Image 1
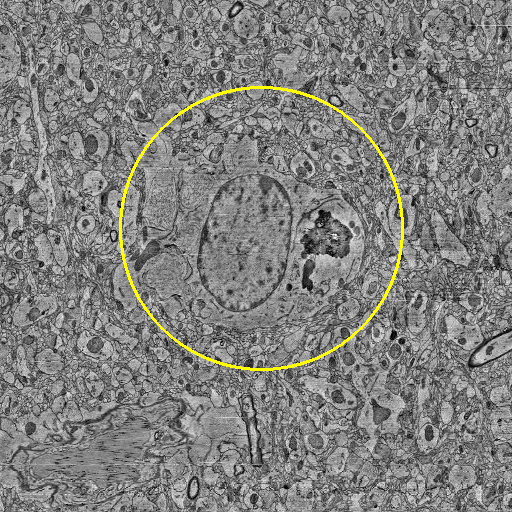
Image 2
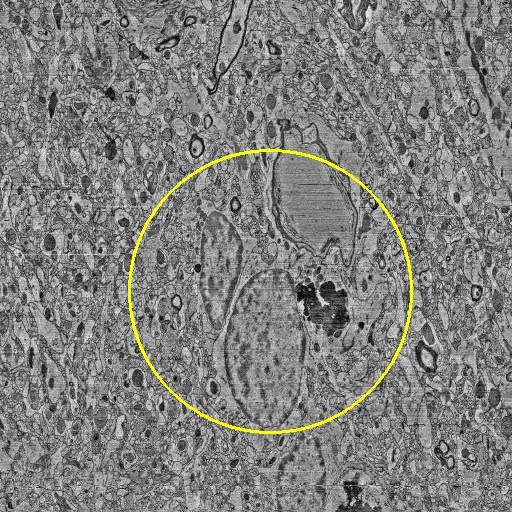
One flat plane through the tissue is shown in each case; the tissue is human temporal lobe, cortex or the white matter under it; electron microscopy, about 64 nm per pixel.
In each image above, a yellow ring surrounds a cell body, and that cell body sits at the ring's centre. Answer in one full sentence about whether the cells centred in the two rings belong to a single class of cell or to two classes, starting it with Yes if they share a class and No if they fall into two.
Yes, the cells centred in the two yellow rings belong to a single class of cell.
